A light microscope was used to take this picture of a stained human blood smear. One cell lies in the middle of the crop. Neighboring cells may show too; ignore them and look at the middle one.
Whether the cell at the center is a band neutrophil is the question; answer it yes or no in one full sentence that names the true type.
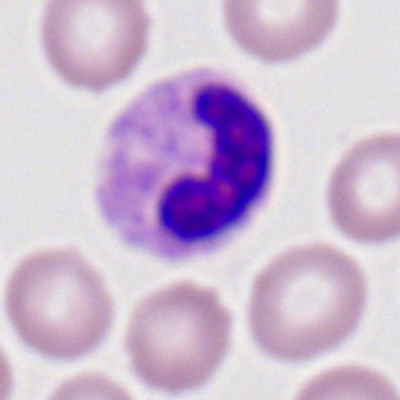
Yes, it is a band neutrophil that occupies the centre of the crop.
